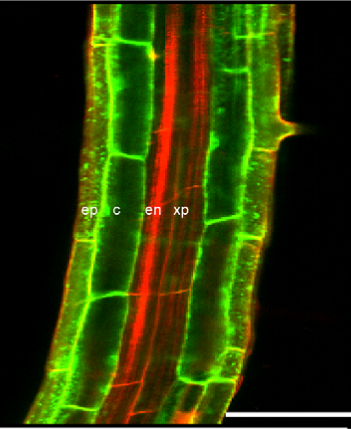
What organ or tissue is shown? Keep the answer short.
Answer: Root.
